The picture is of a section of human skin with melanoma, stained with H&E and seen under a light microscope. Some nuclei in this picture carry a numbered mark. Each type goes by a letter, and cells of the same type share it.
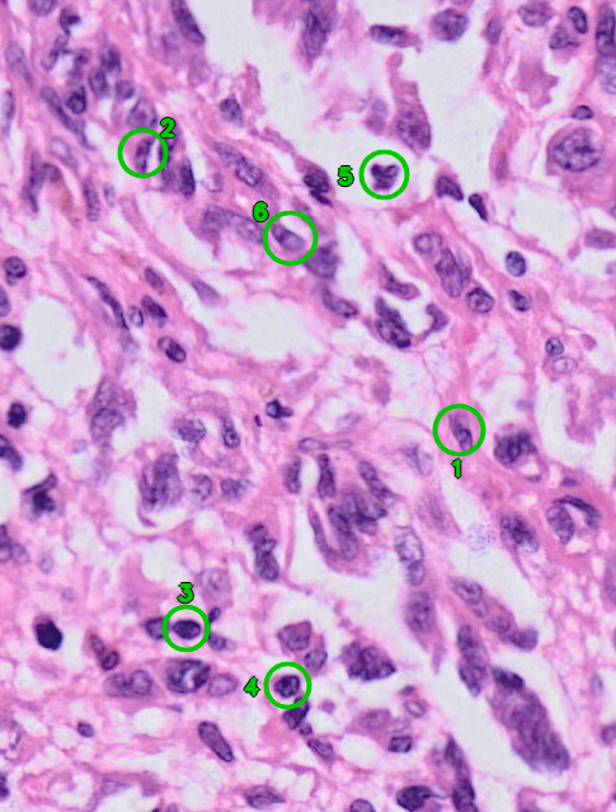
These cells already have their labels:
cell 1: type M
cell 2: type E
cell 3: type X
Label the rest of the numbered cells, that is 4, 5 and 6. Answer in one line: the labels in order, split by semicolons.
type X; type E; type E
